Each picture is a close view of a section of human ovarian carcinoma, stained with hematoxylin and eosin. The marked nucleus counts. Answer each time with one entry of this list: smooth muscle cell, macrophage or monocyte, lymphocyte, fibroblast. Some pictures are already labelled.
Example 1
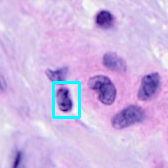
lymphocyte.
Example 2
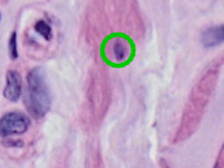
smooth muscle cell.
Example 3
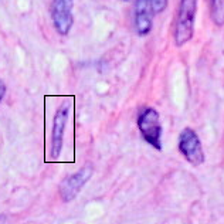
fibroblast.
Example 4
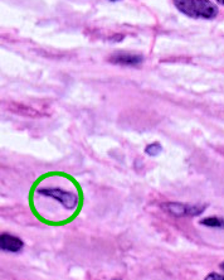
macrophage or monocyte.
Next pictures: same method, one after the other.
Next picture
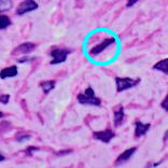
fibroblast.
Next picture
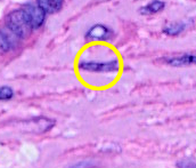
fibroblast.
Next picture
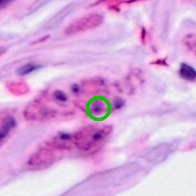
smooth muscle cell.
